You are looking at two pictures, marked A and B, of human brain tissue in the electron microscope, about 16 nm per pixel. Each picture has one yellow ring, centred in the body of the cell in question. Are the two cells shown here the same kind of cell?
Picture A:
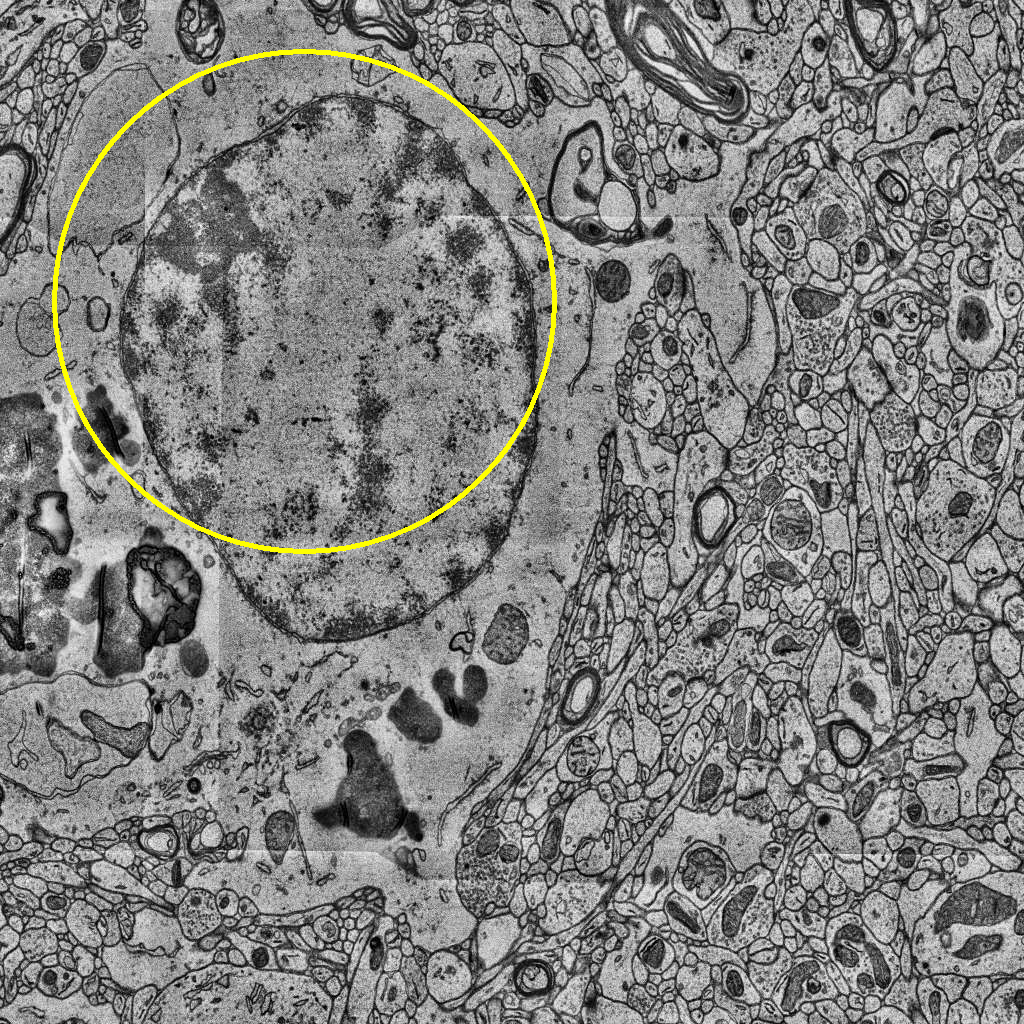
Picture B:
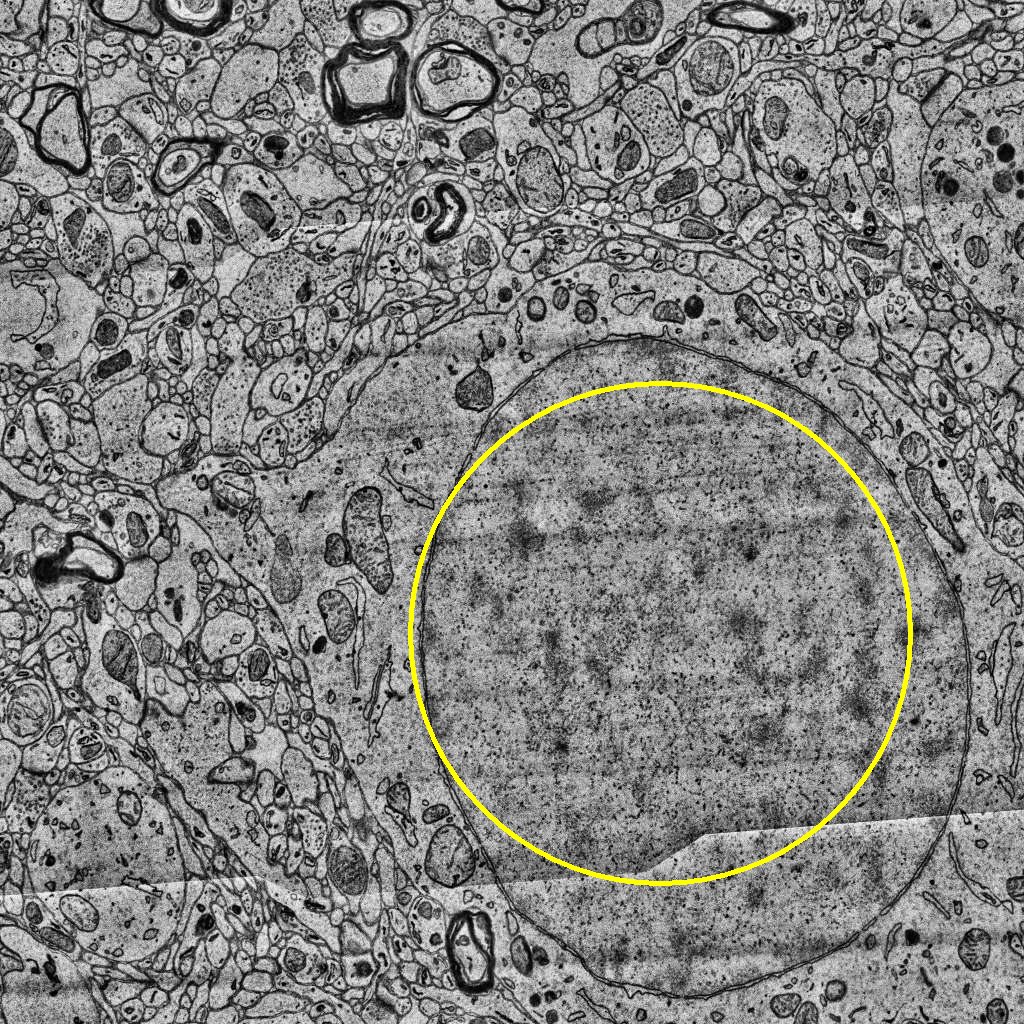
No, they differ: the cell is an astrocyte in picture A and an interneuron in picture B.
